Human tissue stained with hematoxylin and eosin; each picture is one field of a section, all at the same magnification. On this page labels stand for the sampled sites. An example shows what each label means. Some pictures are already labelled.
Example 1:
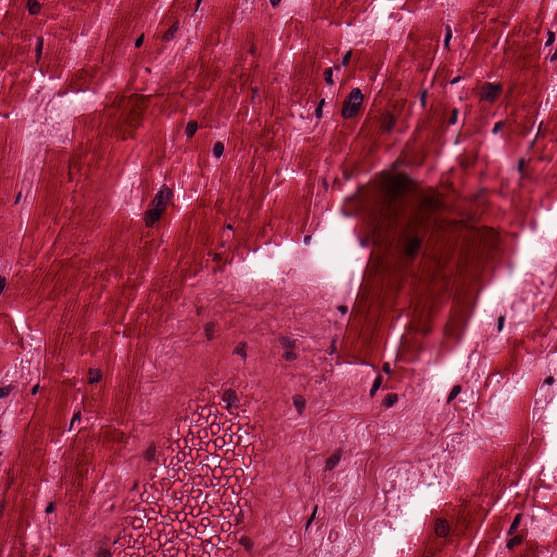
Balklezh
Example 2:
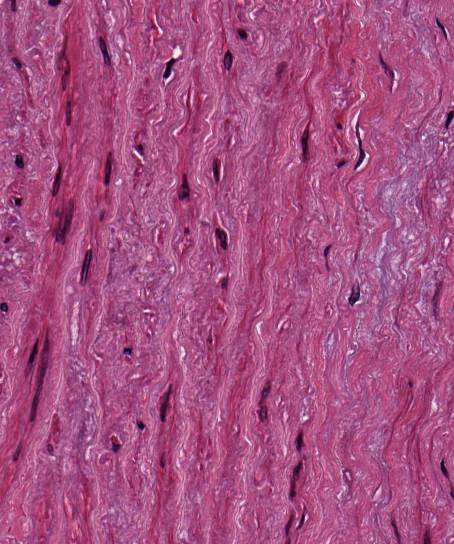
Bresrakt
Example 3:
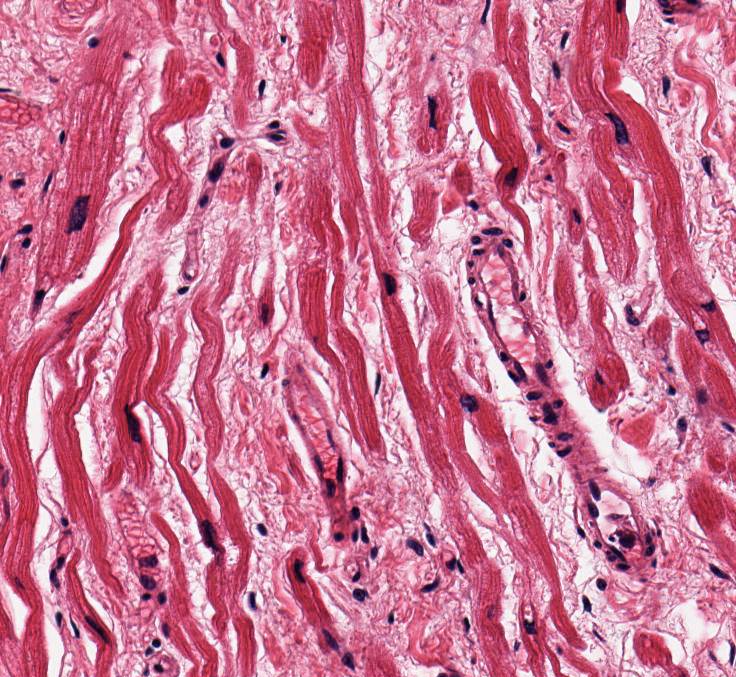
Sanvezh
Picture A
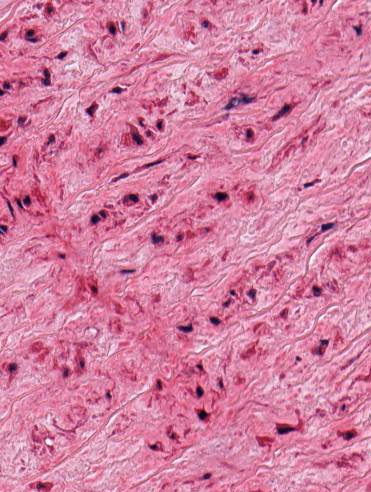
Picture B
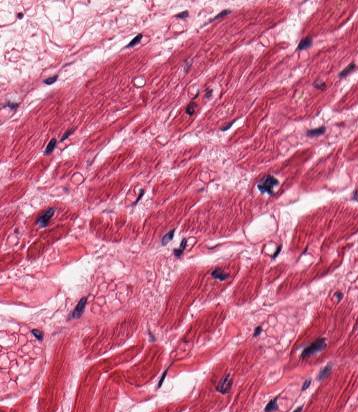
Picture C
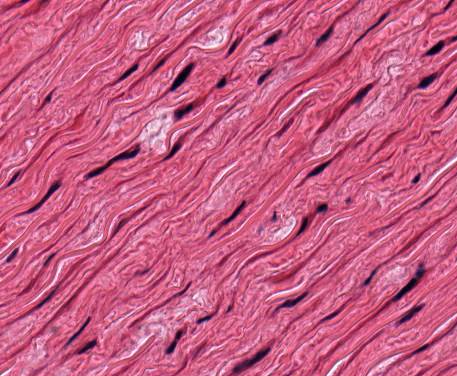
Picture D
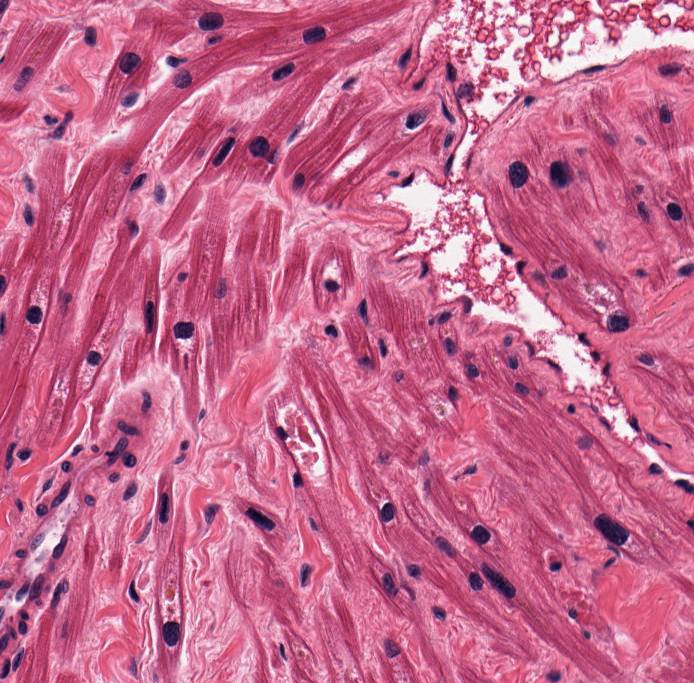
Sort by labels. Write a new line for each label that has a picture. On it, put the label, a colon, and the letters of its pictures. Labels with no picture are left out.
Bresrakt: A, C
Sanvezh: B, D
